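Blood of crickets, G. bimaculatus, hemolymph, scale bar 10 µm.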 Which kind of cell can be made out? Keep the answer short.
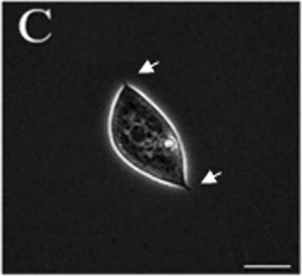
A: Plasmatocytes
